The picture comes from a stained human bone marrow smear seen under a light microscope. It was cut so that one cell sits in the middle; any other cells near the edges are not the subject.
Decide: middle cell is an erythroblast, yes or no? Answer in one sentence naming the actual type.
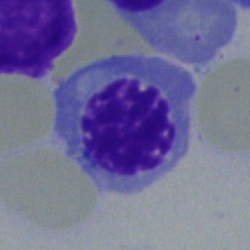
Yes, the cell centred in this crop is an erythroblast.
